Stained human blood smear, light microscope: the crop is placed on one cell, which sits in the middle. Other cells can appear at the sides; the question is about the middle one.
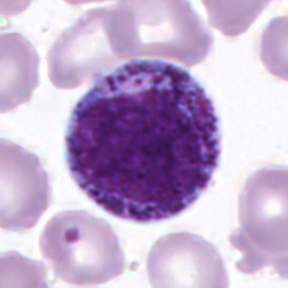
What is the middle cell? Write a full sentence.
The central cell shown in this smear crop is a promyelocyte.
